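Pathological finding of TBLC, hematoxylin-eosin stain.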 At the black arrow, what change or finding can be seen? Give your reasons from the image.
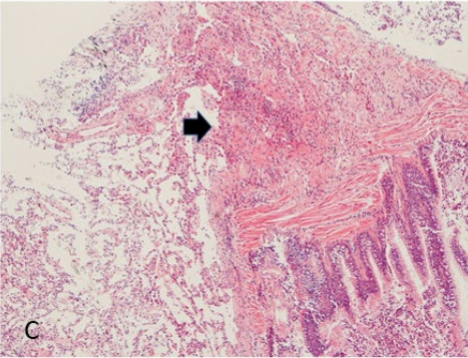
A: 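Strands of eosinophilic collagen run through this area. Open, thin-walled alveoli lie to the left of it. On this evidence: patchy fibrosis.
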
